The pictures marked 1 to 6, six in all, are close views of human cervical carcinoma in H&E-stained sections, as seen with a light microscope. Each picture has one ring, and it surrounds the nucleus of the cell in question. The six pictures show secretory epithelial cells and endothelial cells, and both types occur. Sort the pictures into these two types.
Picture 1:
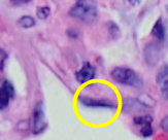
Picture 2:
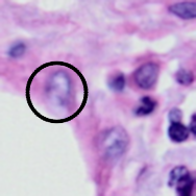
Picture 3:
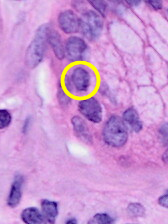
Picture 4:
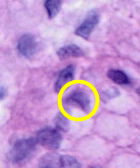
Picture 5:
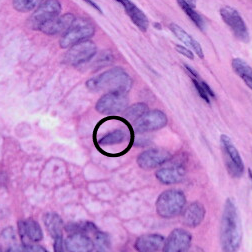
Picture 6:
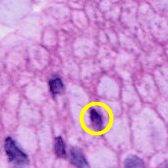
1: endothelial cell
2: endothelial cell
3: secretory epithelial cell
4: secretory epithelial cell
5: secretory epithelial cell
6: secretory epithelial cell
